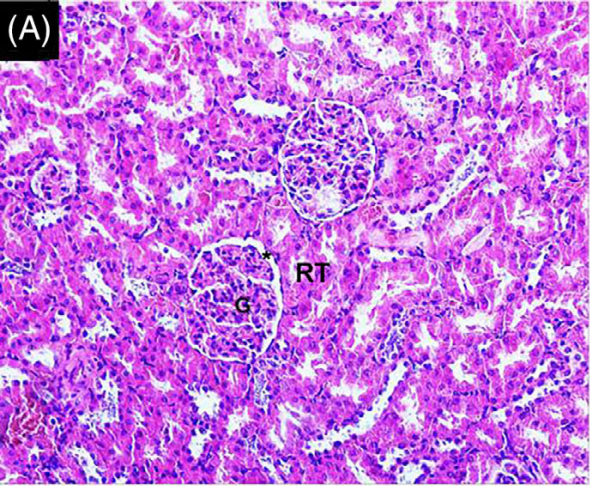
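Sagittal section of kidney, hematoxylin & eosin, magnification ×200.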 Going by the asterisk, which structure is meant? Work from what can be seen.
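The asterisk lies in a thin clear gap between a rounded tuft of cells and its surrounding thin outer wall. The gap encircles the rounded tuft.
Answer: Bowman's capsule space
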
